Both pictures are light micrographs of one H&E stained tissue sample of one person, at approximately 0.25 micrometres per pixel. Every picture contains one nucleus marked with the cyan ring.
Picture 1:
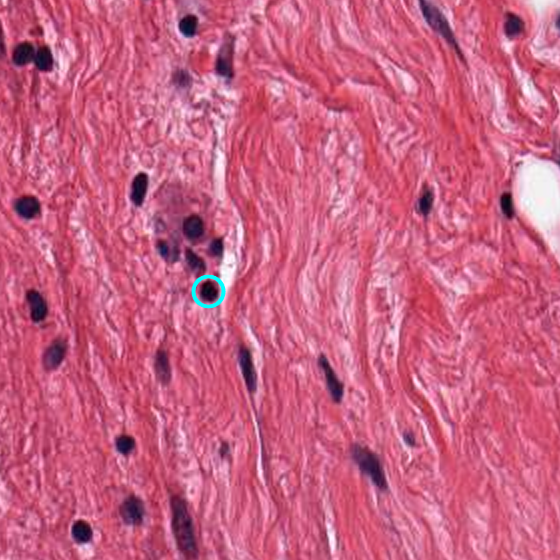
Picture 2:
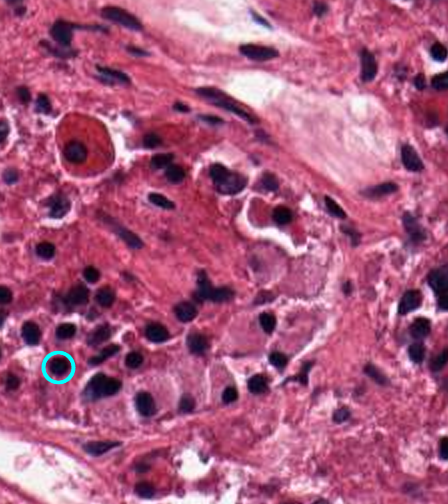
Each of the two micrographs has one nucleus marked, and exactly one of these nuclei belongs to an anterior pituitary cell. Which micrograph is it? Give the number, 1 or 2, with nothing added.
2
